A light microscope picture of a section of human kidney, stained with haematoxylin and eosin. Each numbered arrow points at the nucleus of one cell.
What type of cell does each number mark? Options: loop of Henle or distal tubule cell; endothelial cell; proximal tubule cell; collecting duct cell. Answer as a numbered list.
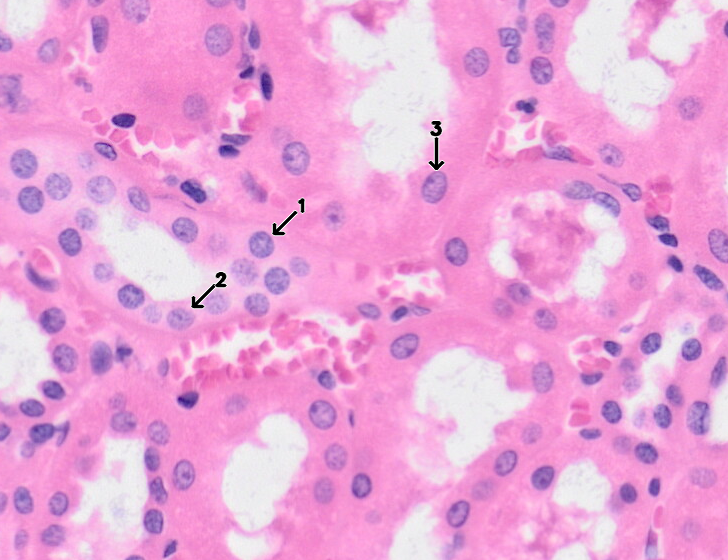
1. collecting duct cell
2. collecting duct cell
3. proximal tubule cell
